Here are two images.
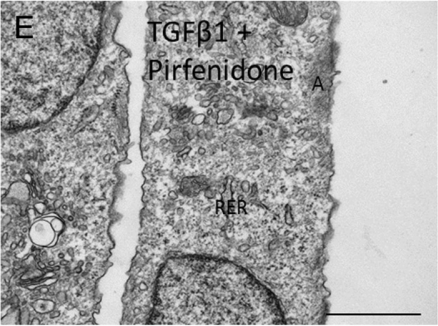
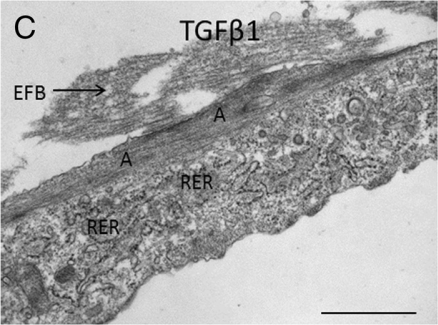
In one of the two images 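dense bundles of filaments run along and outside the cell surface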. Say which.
The second image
